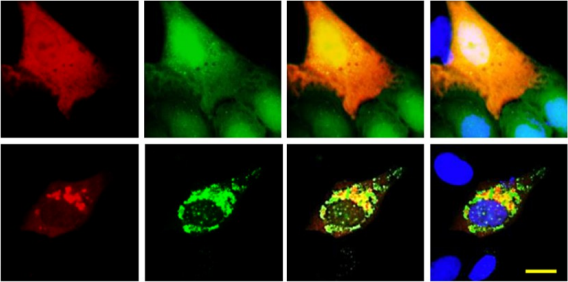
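These are cultured cells in two rows, shown as a red channel, a green channel, their overlay, and an overlay that also includes blue nuclei. In the upper row both the red and the green fluorescence are spread diffusely through the cytoplasm of a large, flat cell, so the overlay is mostly orange. In the lower row the cell is smaller, and its red fluorescence is gathered into bright clumps and puncta. The green fluorescence in this cell forms many small dots clustered around the nucleus. In the overlay many of these red and green dots coincide as yellow.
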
